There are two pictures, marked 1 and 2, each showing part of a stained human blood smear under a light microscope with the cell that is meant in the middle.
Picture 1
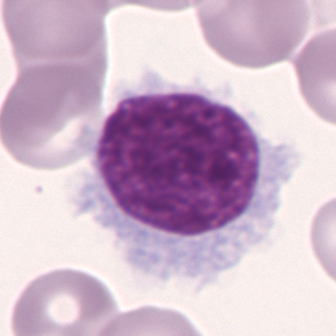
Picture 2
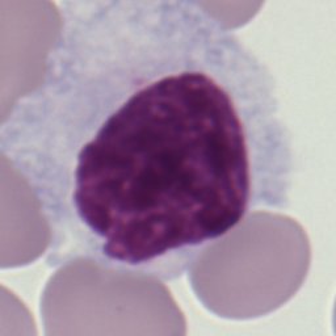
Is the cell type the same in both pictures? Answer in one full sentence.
Yes, both cells are hairy cells.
